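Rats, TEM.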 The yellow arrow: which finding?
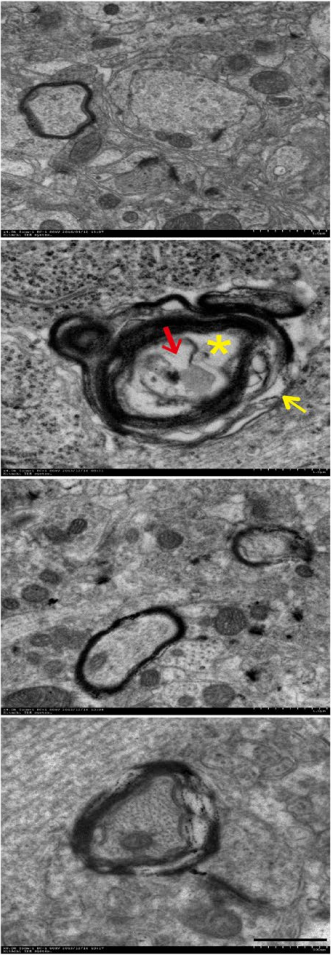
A: loss of myelin sheath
